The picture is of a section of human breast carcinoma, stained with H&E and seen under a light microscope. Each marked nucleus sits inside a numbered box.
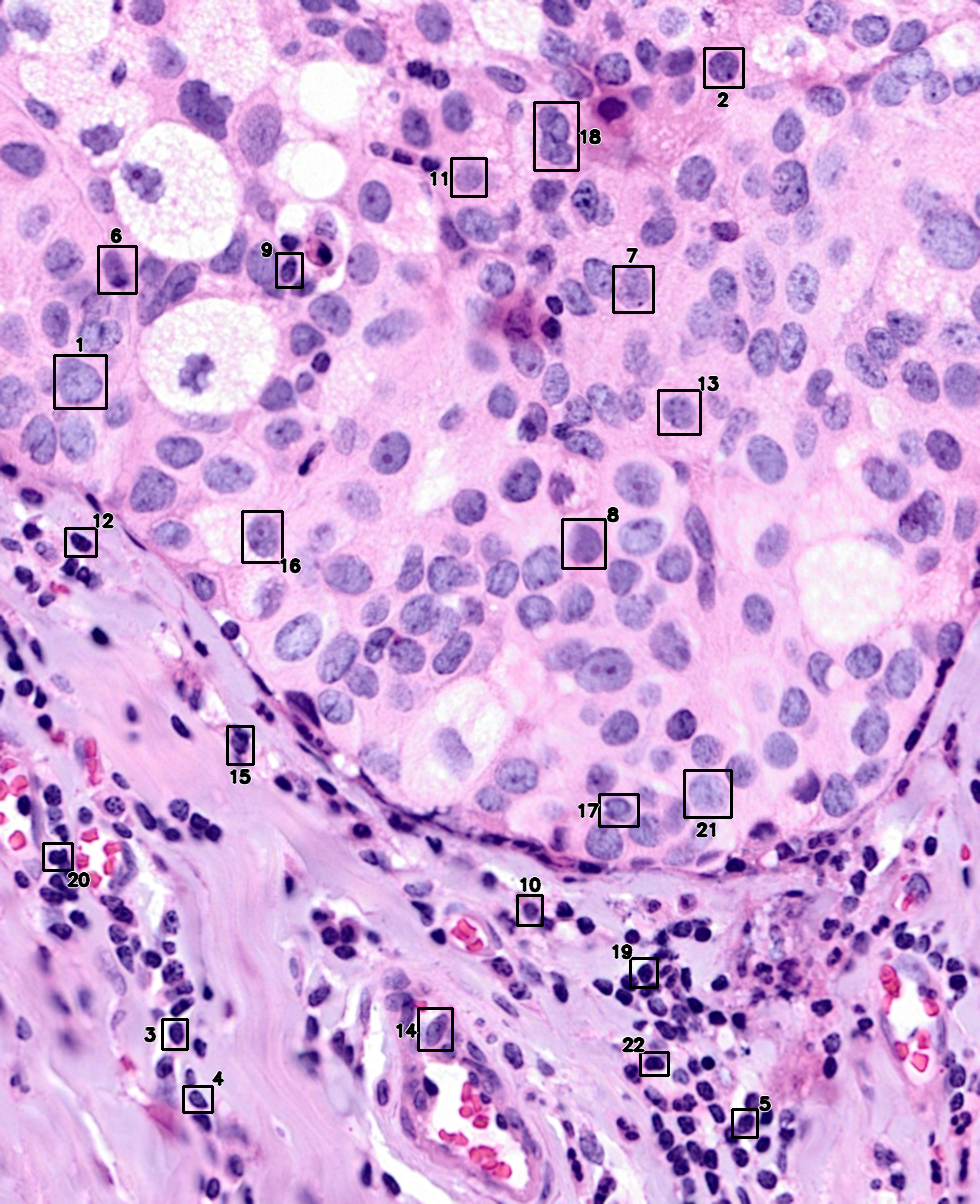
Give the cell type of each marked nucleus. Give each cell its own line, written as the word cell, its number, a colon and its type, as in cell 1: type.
cell 1: carcinoma cell
cell 2: carcinoma cell
cell 3: lymphocyte
cell 4: lymphocyte
cell 5: lymphocyte
cell 6: carcinoma cell
cell 7: carcinoma cell
cell 8: carcinoma cell
cell 9: lymphocyte
cell 10: lymphocyte
cell 11: carcinoma cell
cell 12: lymphocyte
cell 13: carcinoma cell
cell 14: endothelial cell
cell 15: lymphocyte
cell 16: carcinoma cell
cell 17: carcinoma cell
cell 18: carcinoma cell
cell 19: lymphocyte
cell 20: lymphocyte
cell 21: carcinoma cell
cell 22: lymphocyte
